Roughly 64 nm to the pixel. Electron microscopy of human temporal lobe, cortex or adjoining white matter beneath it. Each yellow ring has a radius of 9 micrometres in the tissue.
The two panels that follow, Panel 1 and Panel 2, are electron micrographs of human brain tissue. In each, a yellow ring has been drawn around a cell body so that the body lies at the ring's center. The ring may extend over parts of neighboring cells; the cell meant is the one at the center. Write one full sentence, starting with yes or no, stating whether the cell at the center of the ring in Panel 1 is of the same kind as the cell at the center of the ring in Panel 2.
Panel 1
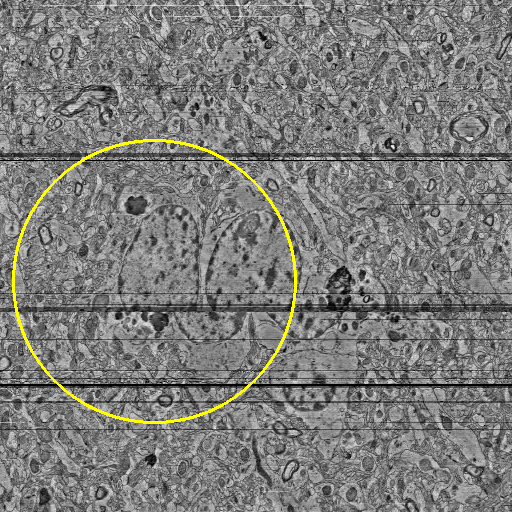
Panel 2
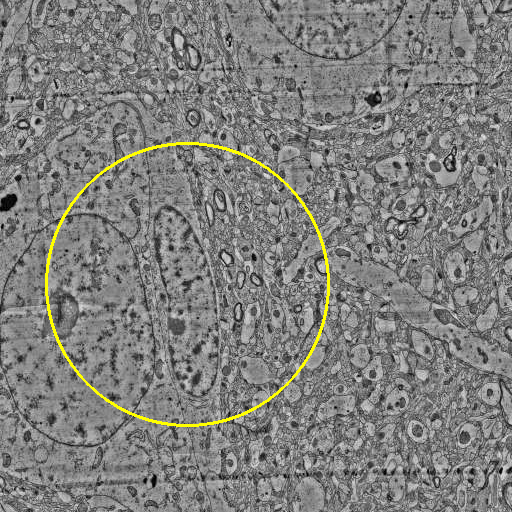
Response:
No, the cells in the two panels are of two kinds.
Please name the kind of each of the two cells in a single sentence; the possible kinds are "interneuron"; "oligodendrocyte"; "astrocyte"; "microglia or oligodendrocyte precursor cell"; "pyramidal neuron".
In the first picture the ring is centred on an astrocyte, and in the second on a microglial cell or oligodendrocyte precursor cell.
